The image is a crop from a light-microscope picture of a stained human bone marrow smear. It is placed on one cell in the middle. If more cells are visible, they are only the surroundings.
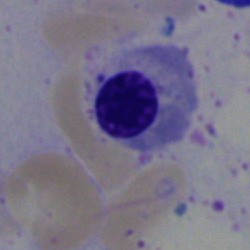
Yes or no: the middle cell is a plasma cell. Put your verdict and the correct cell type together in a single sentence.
No, looking at the central cell, it is a normoblast rather than a plasma cell.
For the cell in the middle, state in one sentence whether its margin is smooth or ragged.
Its surface contour departs from smoothness through ragged edges or outward projections.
